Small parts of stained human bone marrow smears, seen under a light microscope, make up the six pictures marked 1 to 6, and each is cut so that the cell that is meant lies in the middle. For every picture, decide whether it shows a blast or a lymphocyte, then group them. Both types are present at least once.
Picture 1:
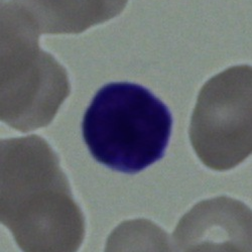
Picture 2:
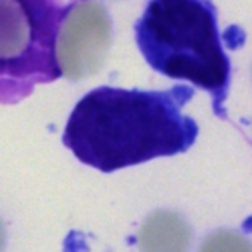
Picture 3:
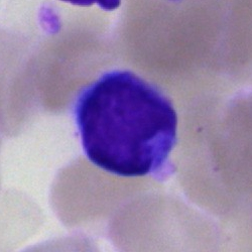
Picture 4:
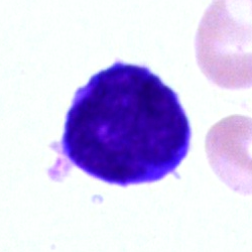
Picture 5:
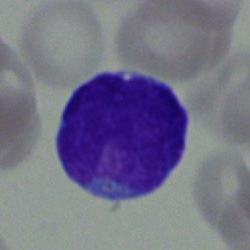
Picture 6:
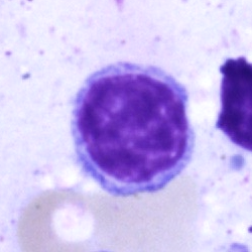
1: lymphocyte
2: blast
3: lymphocyte
4: blast
5: blast
6: lymphocyte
